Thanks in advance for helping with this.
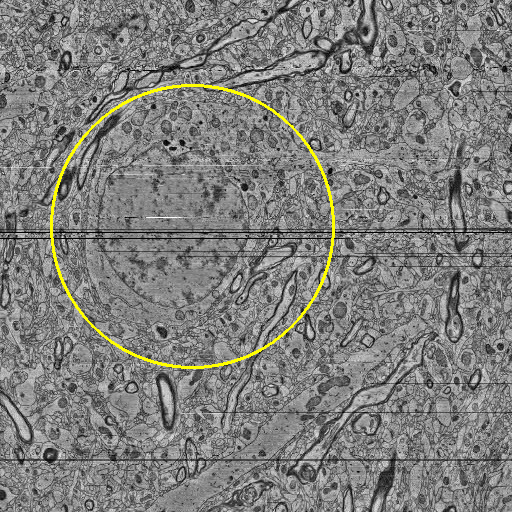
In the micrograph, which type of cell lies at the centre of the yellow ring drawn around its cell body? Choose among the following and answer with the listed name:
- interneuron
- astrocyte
interneuron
